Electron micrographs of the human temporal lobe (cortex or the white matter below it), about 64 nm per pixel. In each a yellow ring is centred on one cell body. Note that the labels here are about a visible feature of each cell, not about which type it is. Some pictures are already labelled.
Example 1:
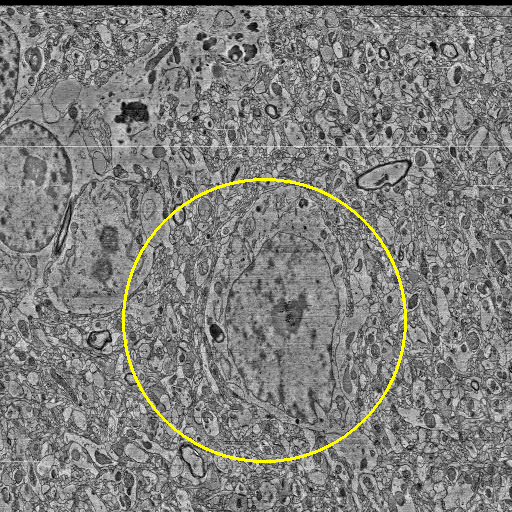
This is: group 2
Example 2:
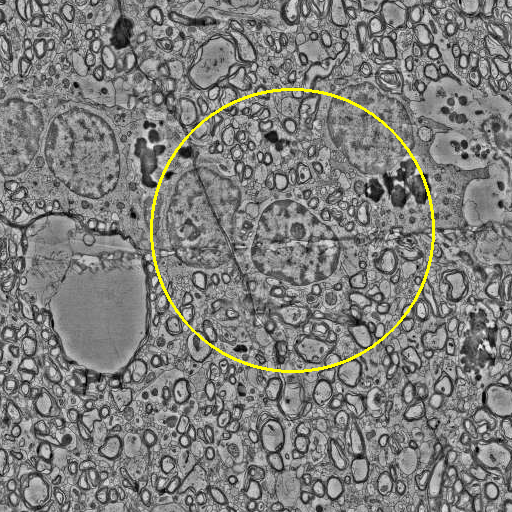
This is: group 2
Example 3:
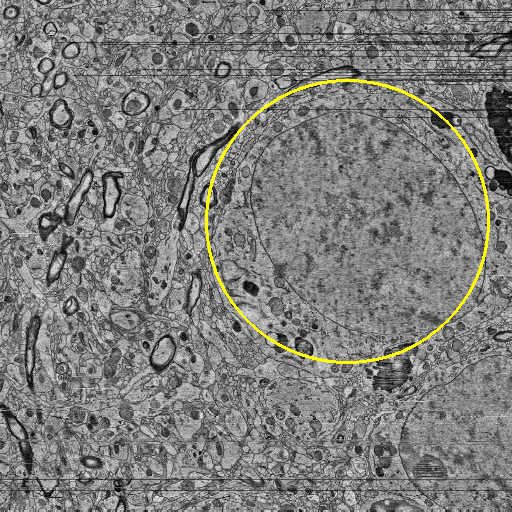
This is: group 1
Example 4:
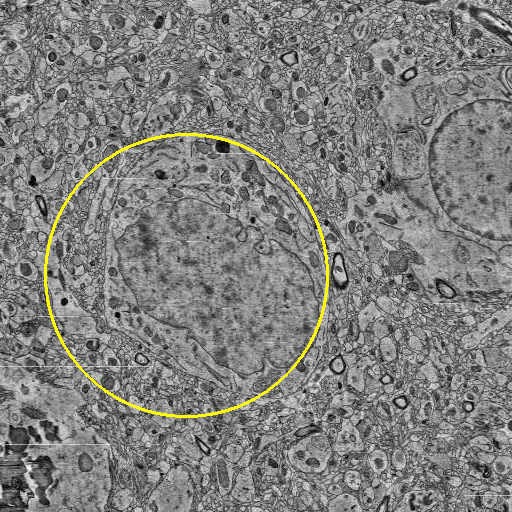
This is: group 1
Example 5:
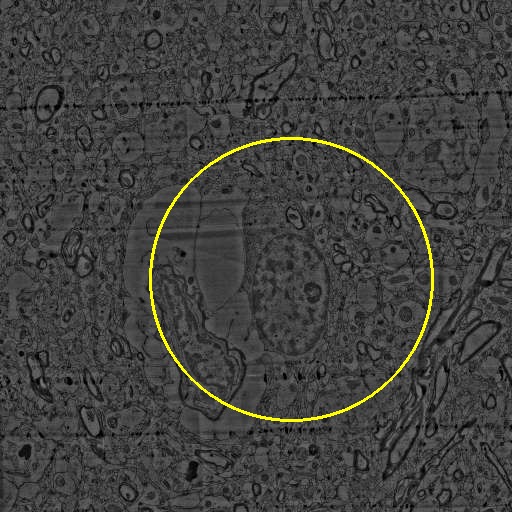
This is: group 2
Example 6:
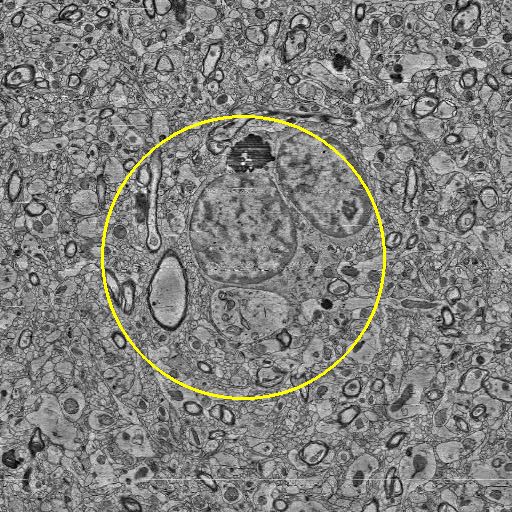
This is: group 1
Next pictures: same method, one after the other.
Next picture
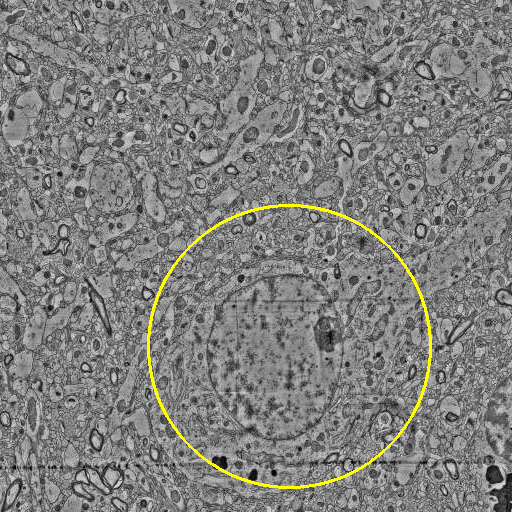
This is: group 2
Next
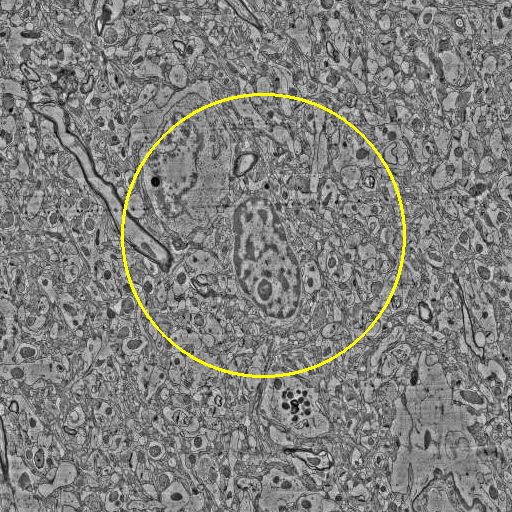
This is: group 2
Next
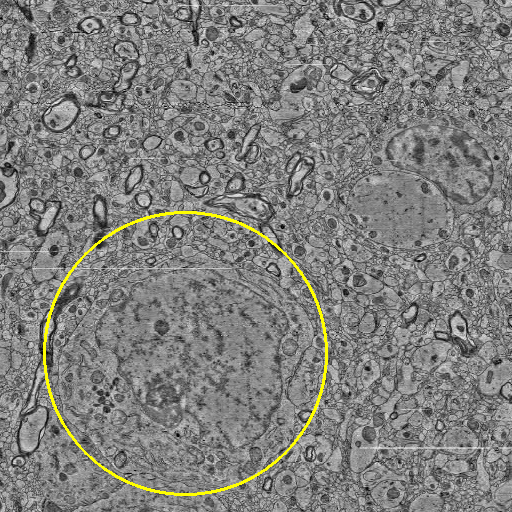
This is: group 2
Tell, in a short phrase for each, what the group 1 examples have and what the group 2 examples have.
Seen in group 1: no nucleolus seen; seen in group 2: nucleolus seen.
